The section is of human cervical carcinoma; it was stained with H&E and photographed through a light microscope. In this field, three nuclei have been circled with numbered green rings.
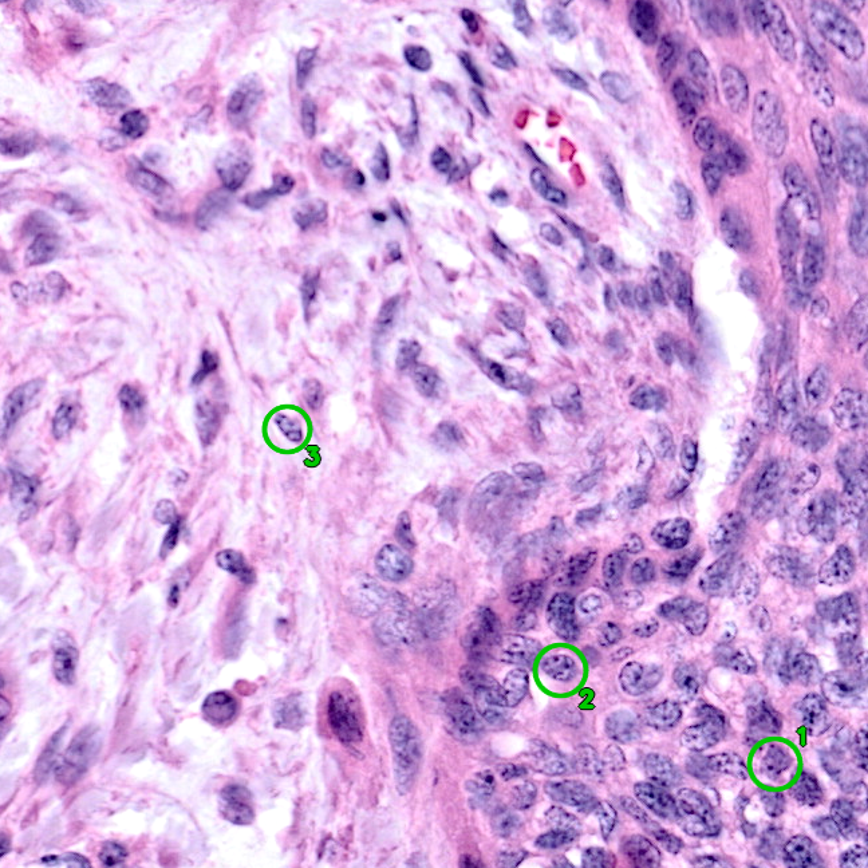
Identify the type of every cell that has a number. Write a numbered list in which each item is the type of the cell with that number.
1. squamous carcinoma cell
2. squamous carcinoma cell
3. lymphocyte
